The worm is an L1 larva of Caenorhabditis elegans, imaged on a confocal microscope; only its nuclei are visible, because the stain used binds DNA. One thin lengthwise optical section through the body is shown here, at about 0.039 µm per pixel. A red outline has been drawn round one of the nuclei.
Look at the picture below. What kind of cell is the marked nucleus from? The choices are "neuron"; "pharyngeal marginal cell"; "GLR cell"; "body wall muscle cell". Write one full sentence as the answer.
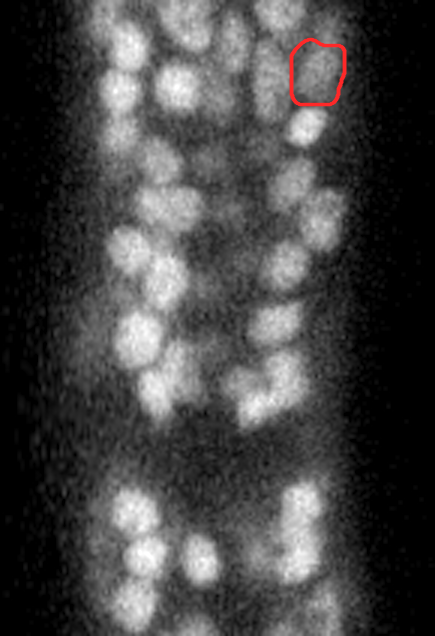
The marked cell is a body wall muscle cell.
